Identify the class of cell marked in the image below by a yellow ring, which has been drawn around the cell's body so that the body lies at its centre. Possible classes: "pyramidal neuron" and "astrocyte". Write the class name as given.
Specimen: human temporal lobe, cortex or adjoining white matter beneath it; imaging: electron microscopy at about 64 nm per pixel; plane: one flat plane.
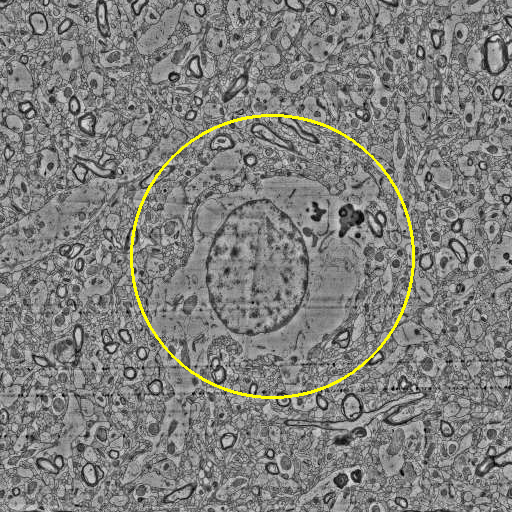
astrocyte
